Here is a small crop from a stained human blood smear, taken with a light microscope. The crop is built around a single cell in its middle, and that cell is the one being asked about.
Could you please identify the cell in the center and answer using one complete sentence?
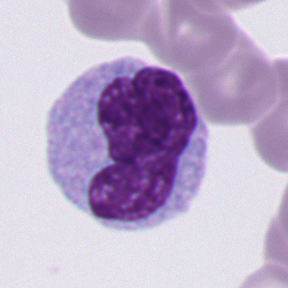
Answering briefly, the cell in the middle is a monocyte.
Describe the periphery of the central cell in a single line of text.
There are no projections here; the outline is simply smooth.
